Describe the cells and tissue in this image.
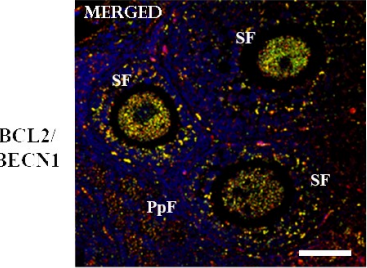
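Several small round follicles lie in ovarian stroma, each built around a large central oocyte whose cytoplasm glows mixed green and red, giving a yellow tone. Around each oocyte runs a dark, unstained ring, and outside it a thin rim of bright yellow-orange dots marks the surrounding follicle cells. The stroma is dotted with scattered red and yellow specks. These are immature follicles, whose oocytes show both colours together in the cytoplasm.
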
